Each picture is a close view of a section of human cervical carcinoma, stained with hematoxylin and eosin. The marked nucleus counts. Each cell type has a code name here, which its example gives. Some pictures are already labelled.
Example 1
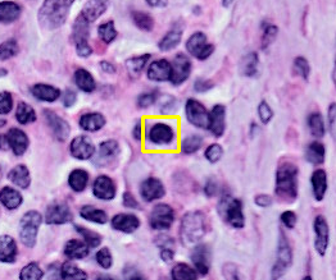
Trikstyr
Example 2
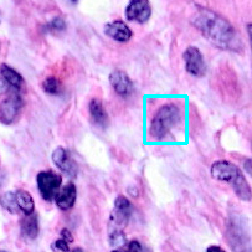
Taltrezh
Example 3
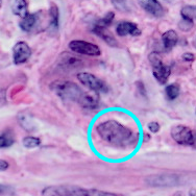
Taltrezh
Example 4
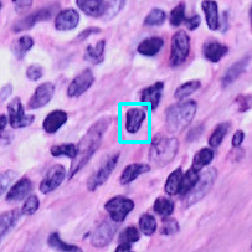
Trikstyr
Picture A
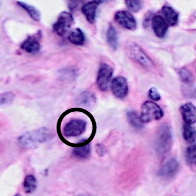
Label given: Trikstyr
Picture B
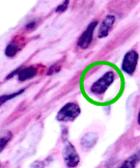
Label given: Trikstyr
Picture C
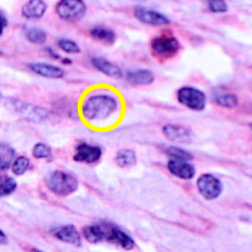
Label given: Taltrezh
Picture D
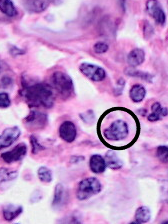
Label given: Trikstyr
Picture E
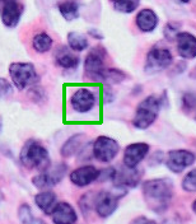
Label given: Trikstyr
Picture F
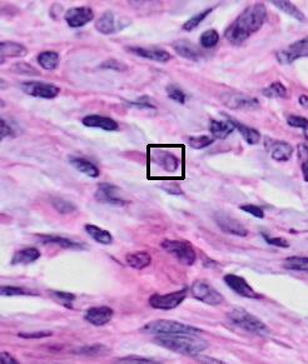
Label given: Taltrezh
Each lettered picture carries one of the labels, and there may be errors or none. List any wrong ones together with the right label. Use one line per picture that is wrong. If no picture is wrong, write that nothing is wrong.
No label is wrong.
